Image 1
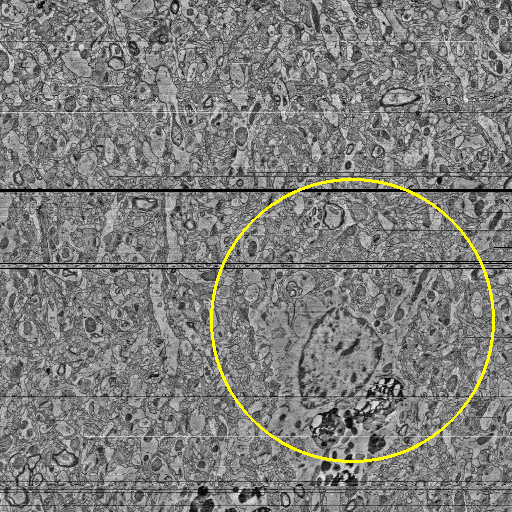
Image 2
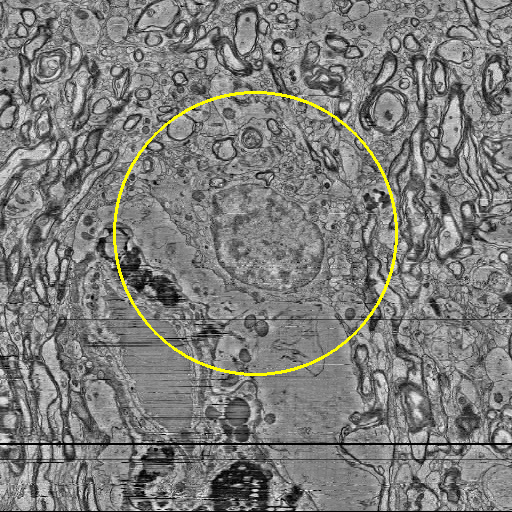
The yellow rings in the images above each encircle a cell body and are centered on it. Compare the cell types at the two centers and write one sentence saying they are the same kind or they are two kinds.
Taken together, the two cells at the ring centers are two kinds.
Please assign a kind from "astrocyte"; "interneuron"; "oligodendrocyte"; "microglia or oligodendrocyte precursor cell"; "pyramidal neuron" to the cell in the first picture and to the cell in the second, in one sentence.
In the first picture we have an astrocyte, and in the second, an oligodendrocyte.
